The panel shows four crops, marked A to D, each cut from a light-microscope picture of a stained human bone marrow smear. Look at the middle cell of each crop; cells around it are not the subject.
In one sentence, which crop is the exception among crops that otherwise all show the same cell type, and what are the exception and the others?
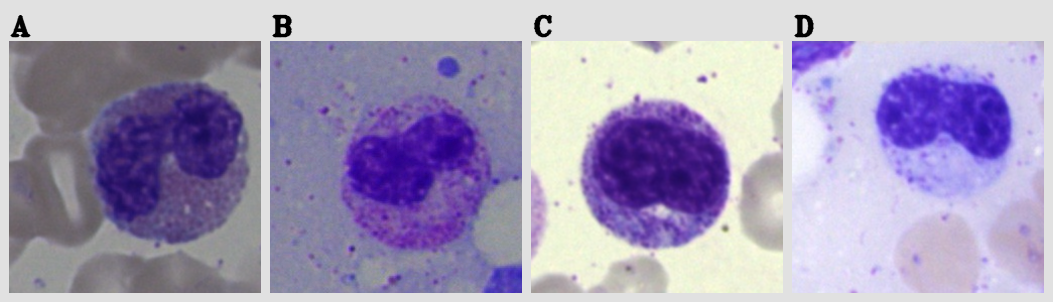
Crop A alone shows an eosinophil; the other crops are all metamyelocytes.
